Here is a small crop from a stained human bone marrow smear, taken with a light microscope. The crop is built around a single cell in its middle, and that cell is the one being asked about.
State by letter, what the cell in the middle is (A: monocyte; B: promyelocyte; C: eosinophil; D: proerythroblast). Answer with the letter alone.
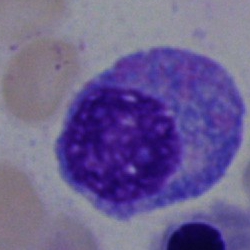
B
